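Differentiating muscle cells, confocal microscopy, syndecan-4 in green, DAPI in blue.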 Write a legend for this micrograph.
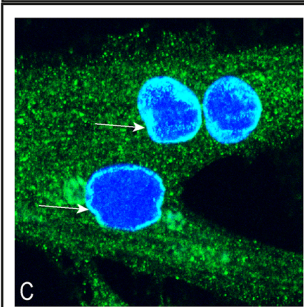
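A portion of a myotube is shown, a long band of green, finely granular cytoplasm holding three closely grouped oval nuclei. Each nucleus is blue with a speckled interior and a bright cyan rim along its outline, marking the nuclear membrane. Coarser green granules gather beside the lower nucleus, and a dark gap separates the band from another strand of cytoplasm below.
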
